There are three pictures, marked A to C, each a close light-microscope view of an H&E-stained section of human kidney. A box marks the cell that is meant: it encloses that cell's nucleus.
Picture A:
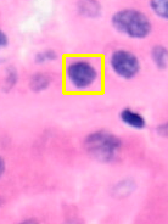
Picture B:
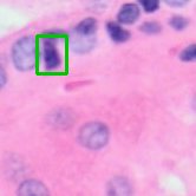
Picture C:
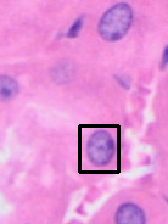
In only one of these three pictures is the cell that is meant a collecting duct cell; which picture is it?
B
